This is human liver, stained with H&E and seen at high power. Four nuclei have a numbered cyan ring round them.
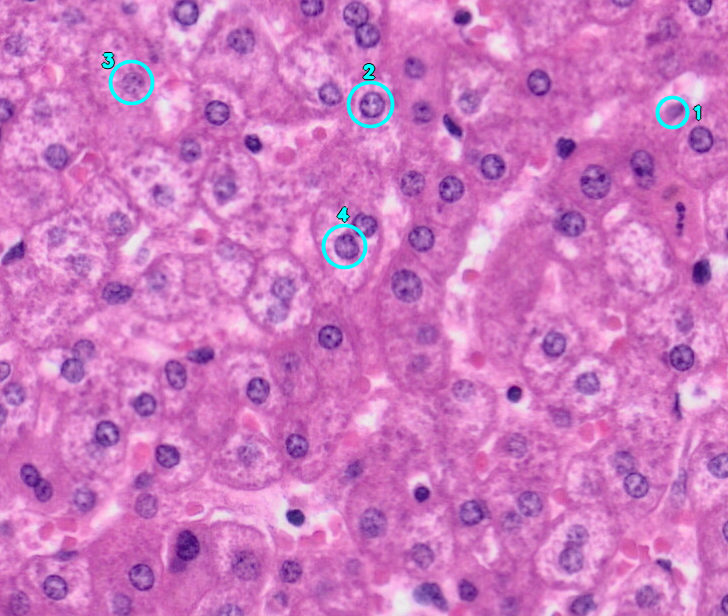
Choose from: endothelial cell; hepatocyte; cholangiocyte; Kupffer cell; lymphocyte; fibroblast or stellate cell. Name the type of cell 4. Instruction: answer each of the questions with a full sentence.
What the number 4 marks in this field is a hepatocyte.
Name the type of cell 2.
The cell referred to as 2 is a hepatocyte.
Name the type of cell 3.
Number 3 among the marked cells is a hepatocyte.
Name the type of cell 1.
Number 1 among the marked cells is a Kupffer cell.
